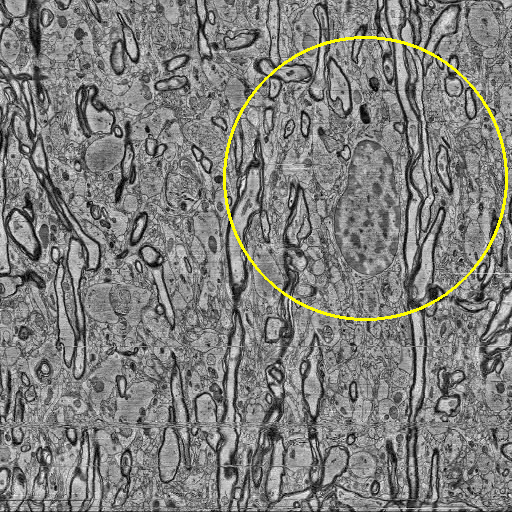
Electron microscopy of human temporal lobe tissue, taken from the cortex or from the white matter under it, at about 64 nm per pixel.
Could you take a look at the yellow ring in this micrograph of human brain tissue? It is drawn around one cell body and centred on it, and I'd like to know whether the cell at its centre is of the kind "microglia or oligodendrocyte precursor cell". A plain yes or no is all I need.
yes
